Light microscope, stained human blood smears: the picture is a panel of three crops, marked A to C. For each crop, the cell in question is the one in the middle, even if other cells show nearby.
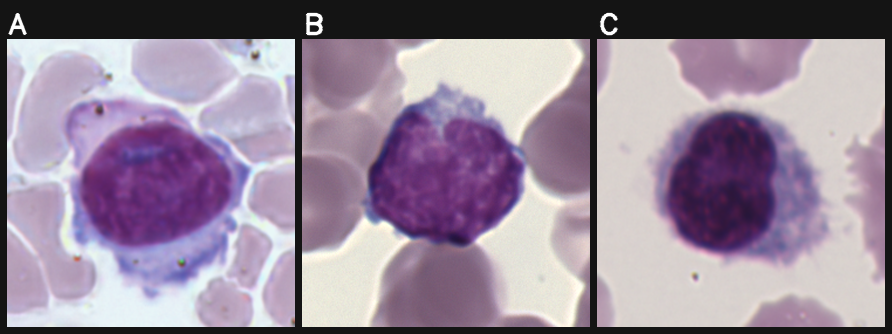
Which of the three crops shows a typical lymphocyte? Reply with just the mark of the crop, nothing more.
B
